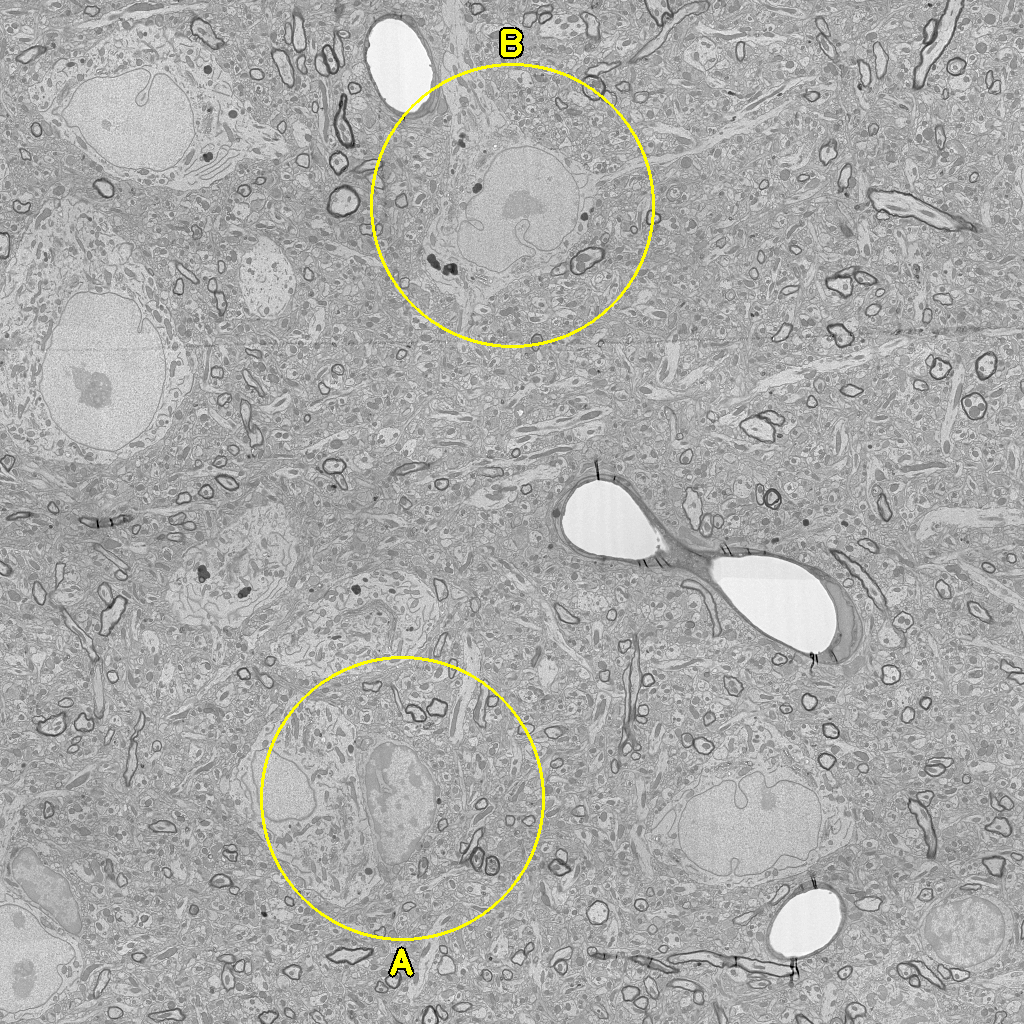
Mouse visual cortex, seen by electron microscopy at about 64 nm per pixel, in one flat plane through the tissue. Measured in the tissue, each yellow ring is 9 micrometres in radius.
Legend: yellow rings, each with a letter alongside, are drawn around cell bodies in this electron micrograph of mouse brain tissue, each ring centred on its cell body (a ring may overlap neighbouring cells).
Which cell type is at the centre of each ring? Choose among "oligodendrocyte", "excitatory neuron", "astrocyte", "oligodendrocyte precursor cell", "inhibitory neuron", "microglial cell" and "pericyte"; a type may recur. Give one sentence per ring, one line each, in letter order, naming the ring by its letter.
Ring A has an oligodendrocyte at its centre.
Ring B has an excitatory neuron at its centre.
